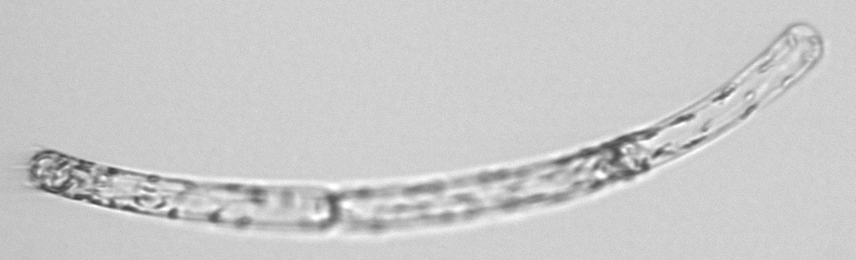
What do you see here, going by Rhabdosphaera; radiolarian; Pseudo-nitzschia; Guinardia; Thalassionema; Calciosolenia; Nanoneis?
I see Guinardia.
